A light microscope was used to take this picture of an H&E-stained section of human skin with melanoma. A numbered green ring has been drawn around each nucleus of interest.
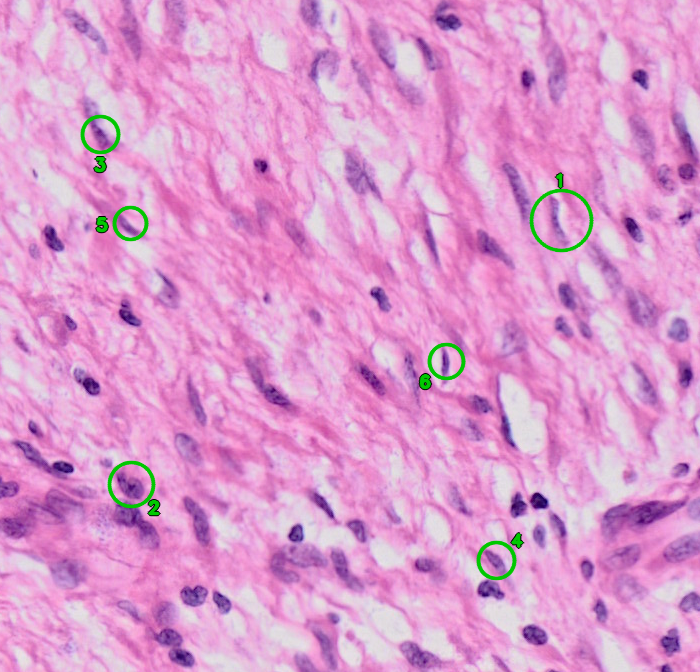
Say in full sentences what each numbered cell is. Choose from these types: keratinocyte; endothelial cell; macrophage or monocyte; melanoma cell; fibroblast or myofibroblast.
Cells 1, 3, 5 and 6 are fibroblasts or myofibroblasts. Cells 2 and 4 are macrophages or monocytes.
